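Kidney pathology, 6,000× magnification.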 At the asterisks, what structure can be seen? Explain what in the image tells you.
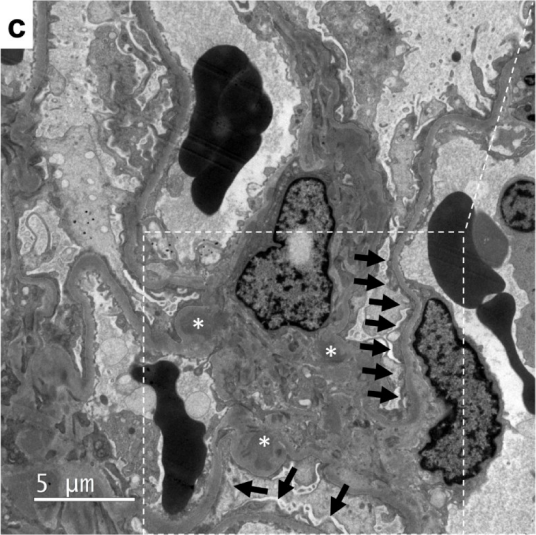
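Rounded homogeneous grey masses lie in the central matrix between capillary loops. So: mesangial electron-dense deposits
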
